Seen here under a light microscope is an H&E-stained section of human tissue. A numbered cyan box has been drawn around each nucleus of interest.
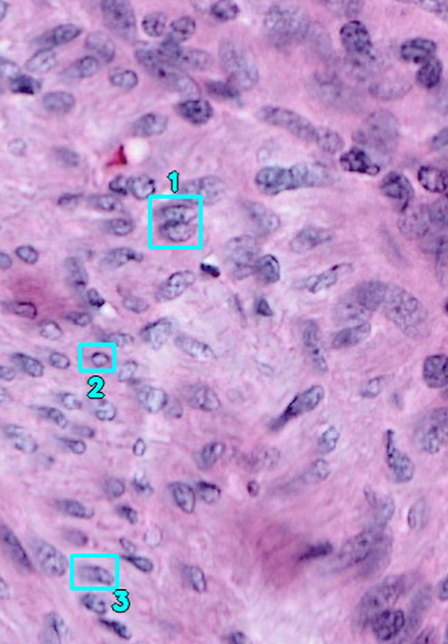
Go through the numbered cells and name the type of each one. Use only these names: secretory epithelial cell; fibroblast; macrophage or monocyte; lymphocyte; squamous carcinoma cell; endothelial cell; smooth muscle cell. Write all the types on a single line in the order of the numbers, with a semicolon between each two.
endothelial cell; smooth muscle cell; smooth muscle cell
